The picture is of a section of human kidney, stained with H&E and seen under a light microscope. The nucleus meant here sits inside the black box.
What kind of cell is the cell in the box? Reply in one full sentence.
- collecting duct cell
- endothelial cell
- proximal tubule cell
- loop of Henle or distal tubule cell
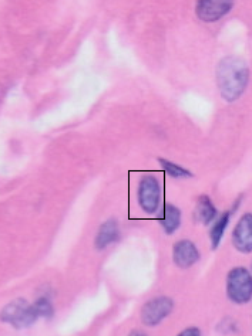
Among the cells in this section, the cell in the box is a collecting duct cell.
